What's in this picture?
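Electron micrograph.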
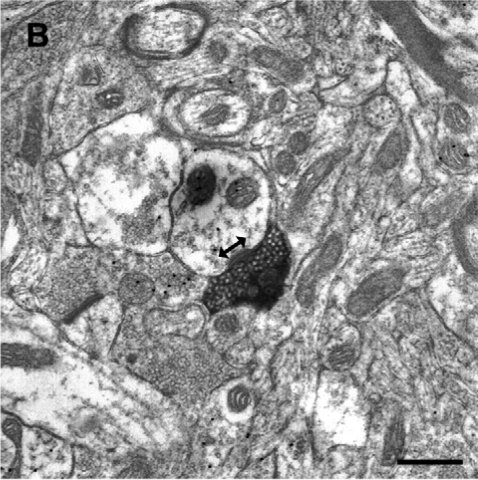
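Small round pale vesicles fill the dark terminal. It contacts a pale rounded profile that holds mitochondria, and the short double-headed arrow marks the length of that synaptic contact. The surrounding neuropil is crowded with profiles of axons and dendrites, some myelinated and many containing mitochondria.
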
